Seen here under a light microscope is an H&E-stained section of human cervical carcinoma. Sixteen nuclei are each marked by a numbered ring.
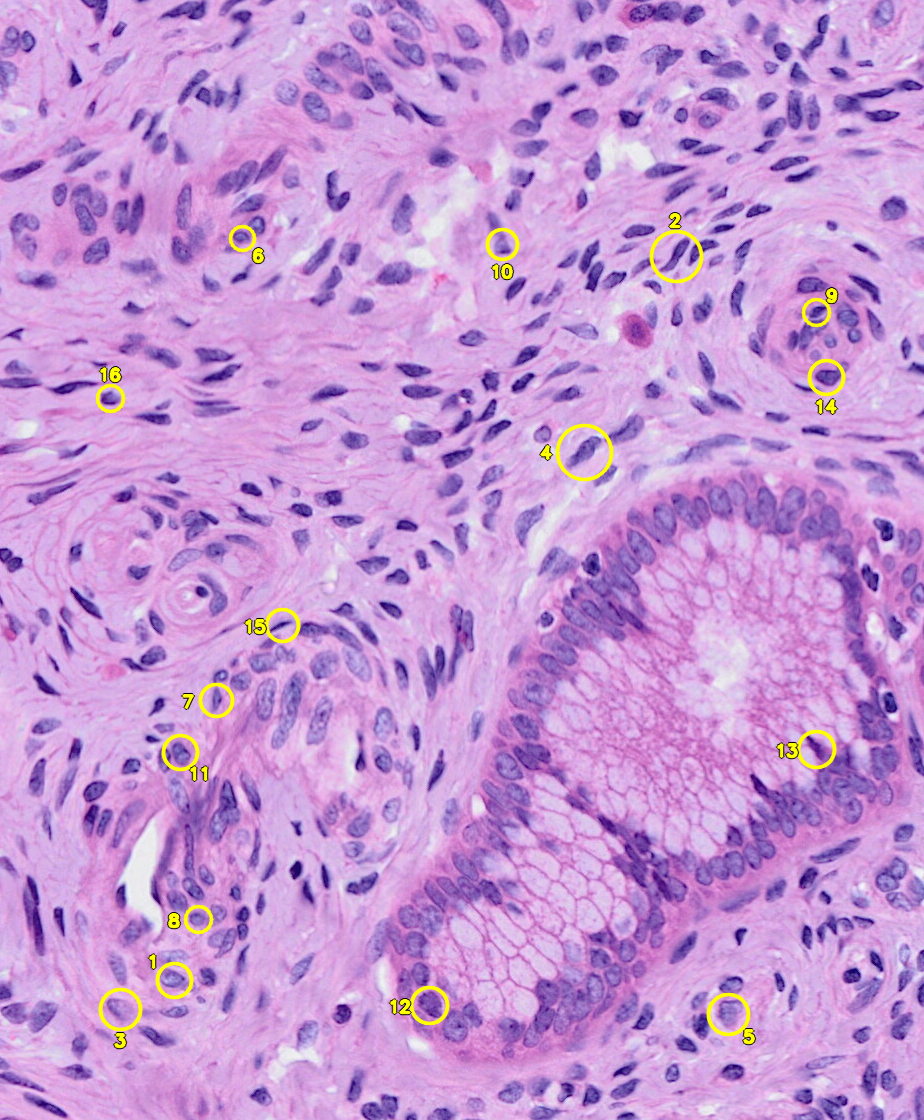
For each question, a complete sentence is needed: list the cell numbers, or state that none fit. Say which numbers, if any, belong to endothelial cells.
The cells shown with numbers 5 and 9 are endothelial cells.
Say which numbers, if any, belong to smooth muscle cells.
The cells with labels 1, 3, 6, 7, 8, 11 and 14 are smooth muscle cells.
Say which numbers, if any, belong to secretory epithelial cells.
By cell type, the cells numbered 12 and 13 are secretory epithelial cells.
